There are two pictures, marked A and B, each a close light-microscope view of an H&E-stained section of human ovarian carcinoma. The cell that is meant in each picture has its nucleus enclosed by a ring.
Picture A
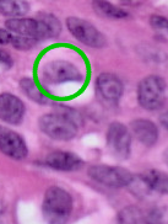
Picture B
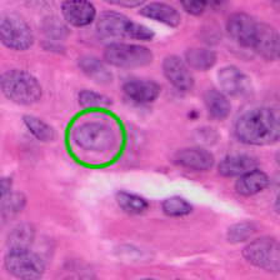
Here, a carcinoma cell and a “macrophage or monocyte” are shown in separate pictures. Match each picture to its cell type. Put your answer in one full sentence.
In picture A the cell is a “macrophage or monocyte”; in picture B, a carcinoma cell.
